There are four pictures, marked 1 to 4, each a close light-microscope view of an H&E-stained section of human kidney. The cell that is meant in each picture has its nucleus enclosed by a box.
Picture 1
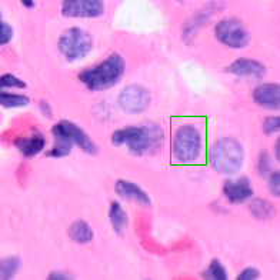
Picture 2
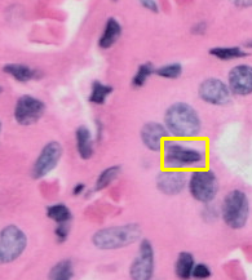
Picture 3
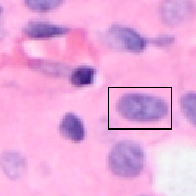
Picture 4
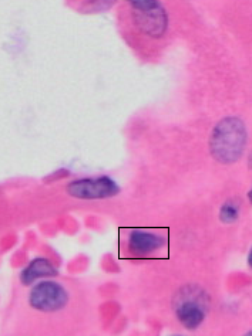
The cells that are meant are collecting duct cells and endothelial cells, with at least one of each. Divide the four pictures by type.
1: collecting duct cell
2: collecting duct cell
3: collecting duct cell
4: endothelial cell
